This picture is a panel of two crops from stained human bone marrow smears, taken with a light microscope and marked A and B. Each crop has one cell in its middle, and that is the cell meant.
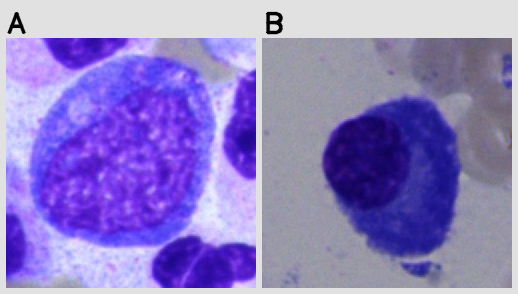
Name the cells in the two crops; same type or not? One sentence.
No, the cell in crop A is a promyelocyte, and the cell in crop B is a plasma cell.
